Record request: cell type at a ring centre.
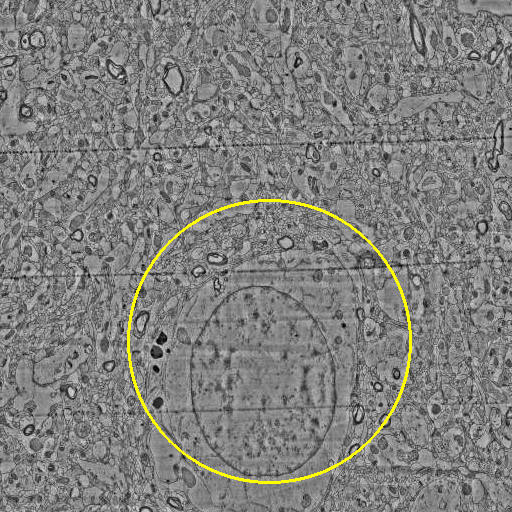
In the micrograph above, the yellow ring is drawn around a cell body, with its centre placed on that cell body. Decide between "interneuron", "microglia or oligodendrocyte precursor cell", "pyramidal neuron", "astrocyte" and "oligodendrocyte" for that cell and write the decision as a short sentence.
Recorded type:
The cell centred in the yellow ring is a pyramidal neuron.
